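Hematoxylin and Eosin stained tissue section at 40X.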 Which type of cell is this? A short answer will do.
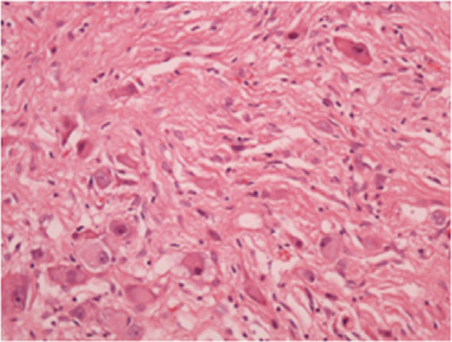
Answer: atypical neuronal cells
